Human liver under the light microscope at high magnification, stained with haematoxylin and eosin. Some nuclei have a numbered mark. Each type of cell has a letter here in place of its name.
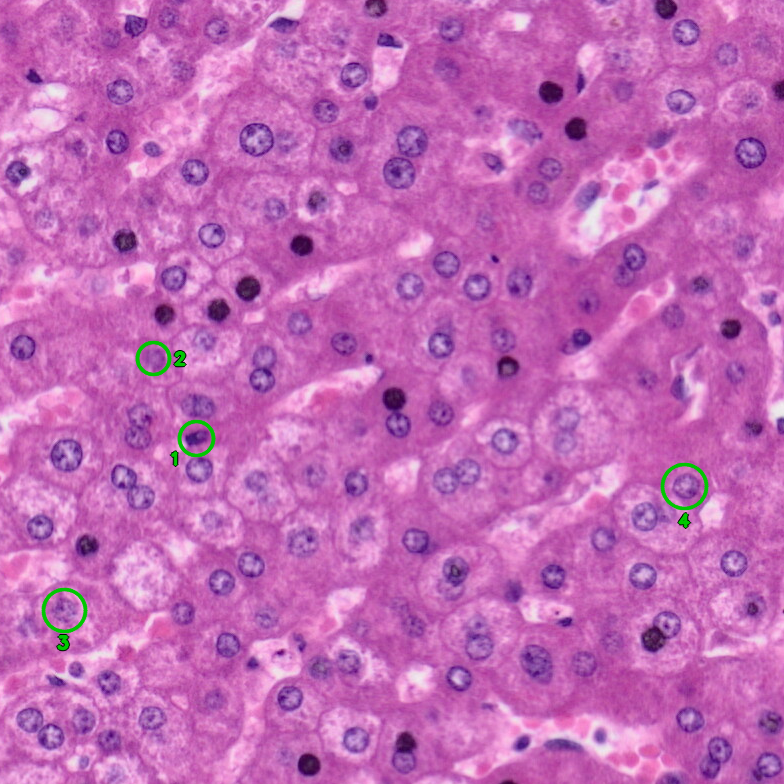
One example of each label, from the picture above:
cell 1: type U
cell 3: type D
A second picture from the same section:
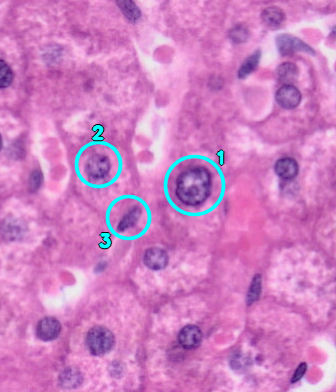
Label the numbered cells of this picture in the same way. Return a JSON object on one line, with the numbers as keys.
{"1": "type D", "2": "type D", "3": "type U"}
